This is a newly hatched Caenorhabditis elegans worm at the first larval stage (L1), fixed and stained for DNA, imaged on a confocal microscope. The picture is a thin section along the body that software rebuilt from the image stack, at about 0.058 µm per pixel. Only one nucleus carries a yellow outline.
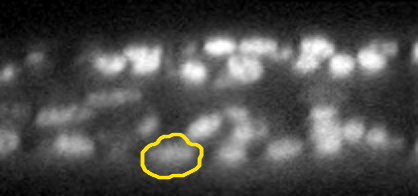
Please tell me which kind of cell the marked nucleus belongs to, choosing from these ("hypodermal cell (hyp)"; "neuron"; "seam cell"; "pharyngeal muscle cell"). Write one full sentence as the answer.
This nucleus is from a seam cell.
